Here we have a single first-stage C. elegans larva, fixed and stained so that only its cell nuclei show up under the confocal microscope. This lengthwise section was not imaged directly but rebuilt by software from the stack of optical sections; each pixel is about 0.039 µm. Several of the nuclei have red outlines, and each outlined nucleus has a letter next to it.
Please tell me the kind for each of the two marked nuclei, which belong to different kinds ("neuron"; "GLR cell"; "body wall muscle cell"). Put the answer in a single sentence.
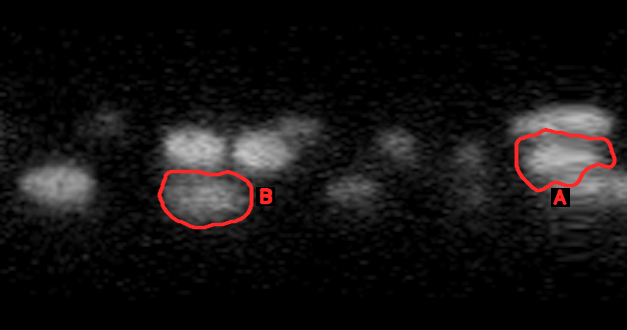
B belongs to a body wall muscle cell, and A to a neuron.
